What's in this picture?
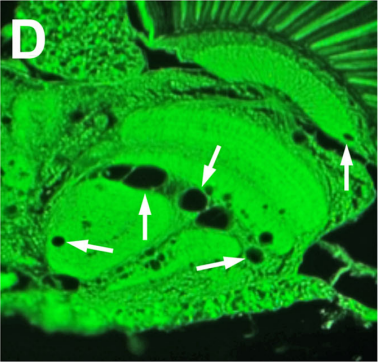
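This section shows the optic lobe of the fly brain with the retina at upper right and the layered neuropils of the medulla and lobula complex below. The neuropils look like smooth green fields bordered by a granular layer of cell bodies. Many round dark holes of various sizes are scattered through the neuropil and near its borders, some grouped in clusters. These holes are vacuoles, where brain tissue has degenerated.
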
